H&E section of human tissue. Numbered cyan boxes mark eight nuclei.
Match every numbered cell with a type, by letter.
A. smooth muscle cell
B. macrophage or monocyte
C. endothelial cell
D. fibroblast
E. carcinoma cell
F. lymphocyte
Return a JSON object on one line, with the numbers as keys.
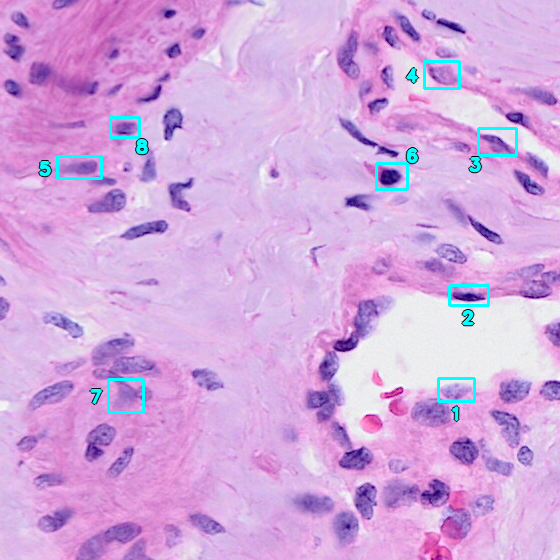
{"1": "C", "2": "C", "3": "C", "4": "C", "5": "A", "6": "F", "7": "A", "8": "A"}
